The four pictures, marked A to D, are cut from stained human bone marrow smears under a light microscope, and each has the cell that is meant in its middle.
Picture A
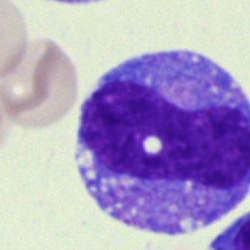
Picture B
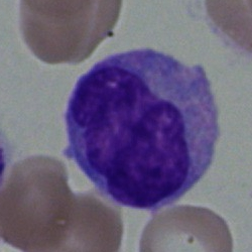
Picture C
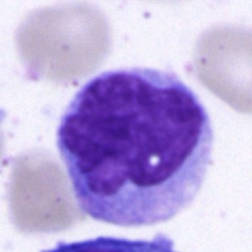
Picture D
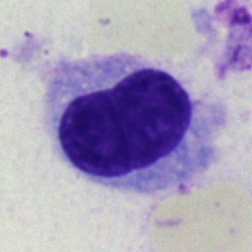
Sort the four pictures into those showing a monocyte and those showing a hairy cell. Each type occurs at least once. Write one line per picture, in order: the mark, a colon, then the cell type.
A: monocyte
B: monocyte
C: monocyte
D: hairy cell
